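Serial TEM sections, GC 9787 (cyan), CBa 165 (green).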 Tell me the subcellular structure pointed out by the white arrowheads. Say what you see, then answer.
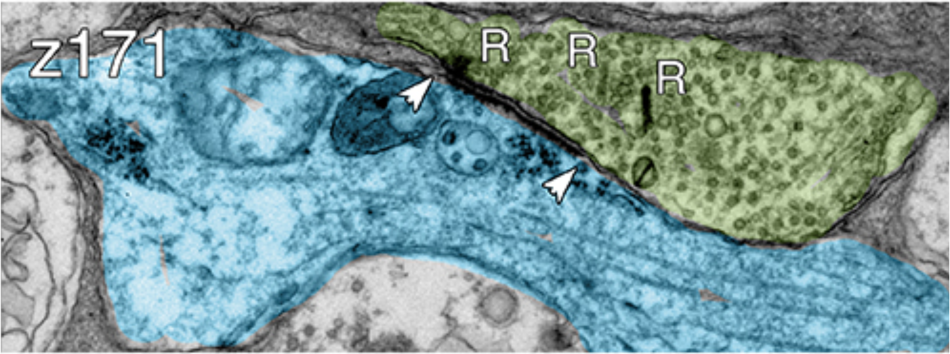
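A dark, thickened band runs along the cyan membrane where it faces the green profile. The two white arrowheads sit at either end of this dark band.
Hence: postsynaptic density.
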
